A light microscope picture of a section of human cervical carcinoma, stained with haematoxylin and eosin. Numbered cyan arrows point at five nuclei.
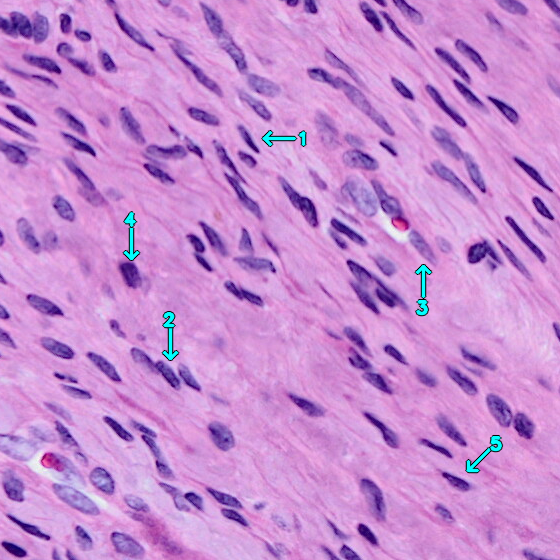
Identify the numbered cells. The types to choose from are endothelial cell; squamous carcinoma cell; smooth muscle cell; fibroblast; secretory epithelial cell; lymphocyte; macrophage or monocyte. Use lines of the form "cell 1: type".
cell 1: fibroblast
cell 2: fibroblast
cell 3: endothelial cell
cell 4: lymphocyte
cell 5: fibroblast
